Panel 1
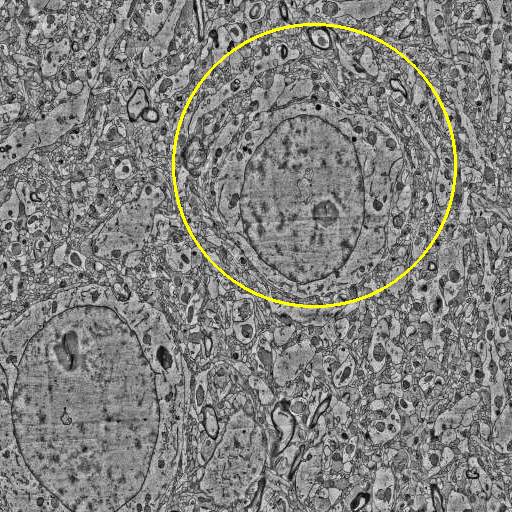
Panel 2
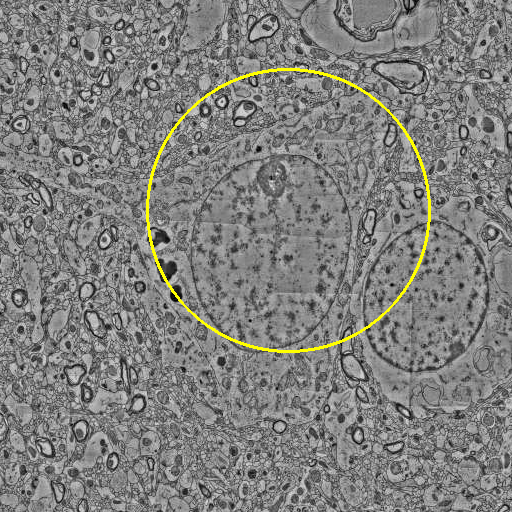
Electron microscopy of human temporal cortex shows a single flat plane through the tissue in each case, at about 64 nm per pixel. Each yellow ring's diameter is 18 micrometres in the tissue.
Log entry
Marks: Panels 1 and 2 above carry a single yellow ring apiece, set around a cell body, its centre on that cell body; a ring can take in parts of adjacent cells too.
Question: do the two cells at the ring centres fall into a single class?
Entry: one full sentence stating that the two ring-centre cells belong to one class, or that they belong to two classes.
The two ring-centre cells in Panels 1 and 2 belong to one class.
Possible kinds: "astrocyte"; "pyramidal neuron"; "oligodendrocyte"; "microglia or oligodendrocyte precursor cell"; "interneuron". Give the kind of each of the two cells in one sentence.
The ring centre holds a pyramidal neuron in each of the two pictures.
